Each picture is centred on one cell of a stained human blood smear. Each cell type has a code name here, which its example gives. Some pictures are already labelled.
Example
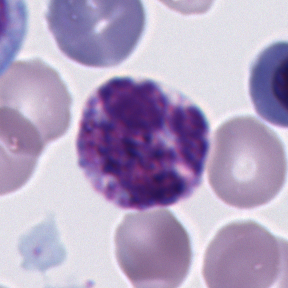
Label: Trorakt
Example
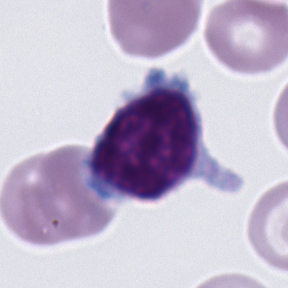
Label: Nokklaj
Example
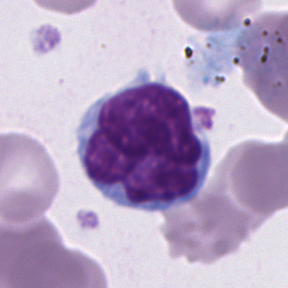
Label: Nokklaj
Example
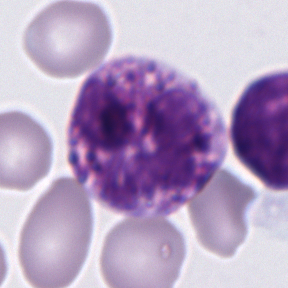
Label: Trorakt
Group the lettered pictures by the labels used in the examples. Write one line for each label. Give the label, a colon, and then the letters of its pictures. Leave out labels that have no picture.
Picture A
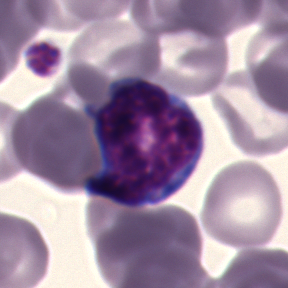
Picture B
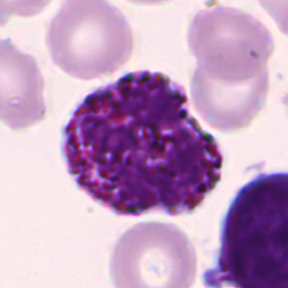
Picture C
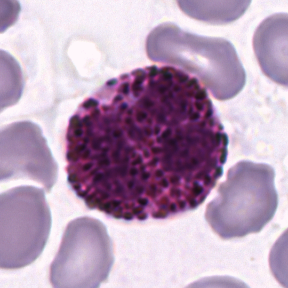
Trorakt: B, C
Nokklaj: A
